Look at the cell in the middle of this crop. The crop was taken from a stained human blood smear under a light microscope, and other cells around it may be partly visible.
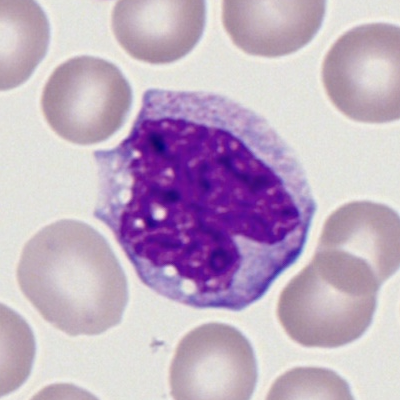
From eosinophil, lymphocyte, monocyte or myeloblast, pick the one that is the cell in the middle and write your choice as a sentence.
Standing at the centre of this crop is a monocyte.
